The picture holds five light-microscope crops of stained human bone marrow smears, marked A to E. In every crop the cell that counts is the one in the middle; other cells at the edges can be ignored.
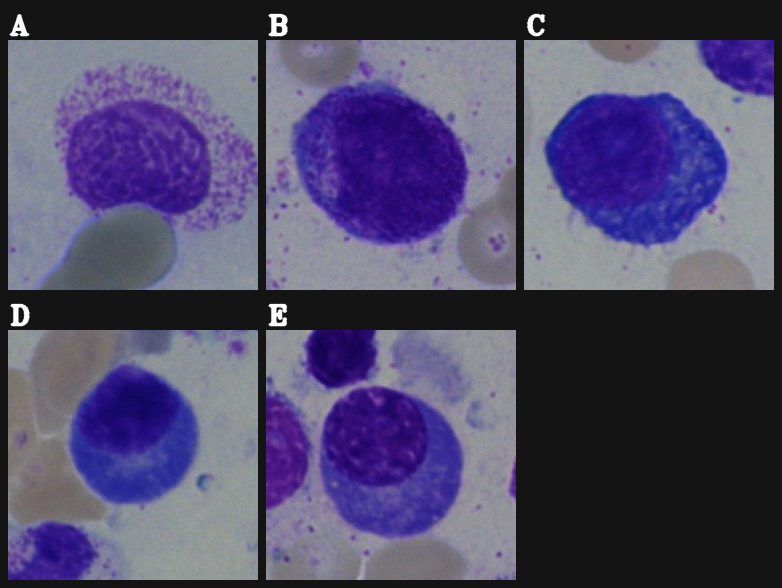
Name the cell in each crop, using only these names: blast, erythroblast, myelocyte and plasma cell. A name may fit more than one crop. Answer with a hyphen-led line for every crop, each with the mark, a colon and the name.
- A: myelocyte
- B: myelocyte
- C: plasma cell
- D: plasma cell
- E: plasma cell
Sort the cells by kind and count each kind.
plasma cell: 3
myelocyte: 2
